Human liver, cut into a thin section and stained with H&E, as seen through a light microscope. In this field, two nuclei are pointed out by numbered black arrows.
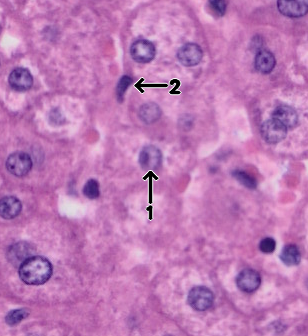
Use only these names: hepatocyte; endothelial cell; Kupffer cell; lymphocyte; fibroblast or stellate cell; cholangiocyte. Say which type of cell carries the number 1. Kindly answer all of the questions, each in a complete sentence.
Here, the cell given the number 1 is a hepatocyte.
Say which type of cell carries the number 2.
In this section, the cell numbered 2 is a fibroblast or stellate cell.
